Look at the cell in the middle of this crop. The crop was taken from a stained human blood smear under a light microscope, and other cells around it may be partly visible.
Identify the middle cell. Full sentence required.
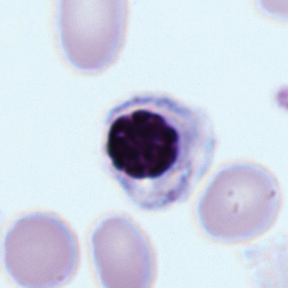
Within this crop, an erythroblast occupies the central position.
